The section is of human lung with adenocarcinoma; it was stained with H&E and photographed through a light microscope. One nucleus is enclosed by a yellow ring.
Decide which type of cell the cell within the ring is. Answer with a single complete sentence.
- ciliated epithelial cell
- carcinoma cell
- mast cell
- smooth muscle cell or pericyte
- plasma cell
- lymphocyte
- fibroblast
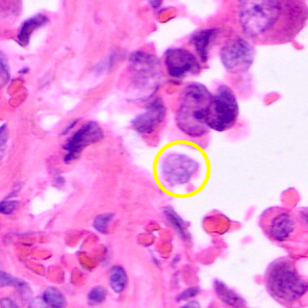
This is a carcinoma cell.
